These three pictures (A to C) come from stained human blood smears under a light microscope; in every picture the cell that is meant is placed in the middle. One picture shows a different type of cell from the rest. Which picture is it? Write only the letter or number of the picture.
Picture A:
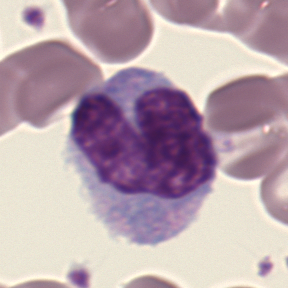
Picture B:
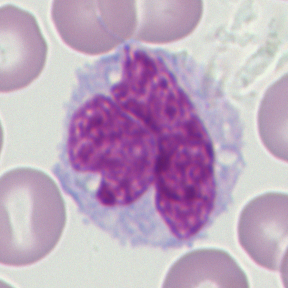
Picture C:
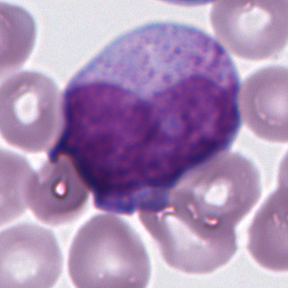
C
